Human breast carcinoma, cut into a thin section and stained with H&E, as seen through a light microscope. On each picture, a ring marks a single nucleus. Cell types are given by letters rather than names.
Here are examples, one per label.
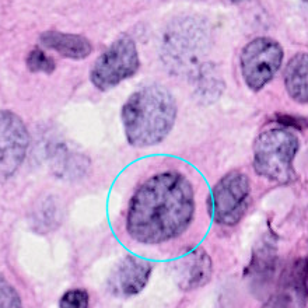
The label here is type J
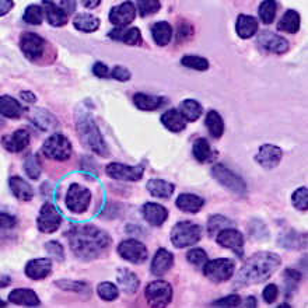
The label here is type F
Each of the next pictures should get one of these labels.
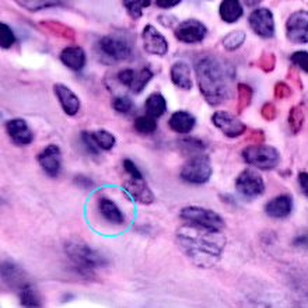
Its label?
type F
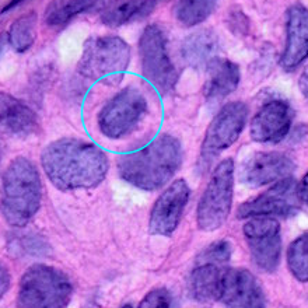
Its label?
type J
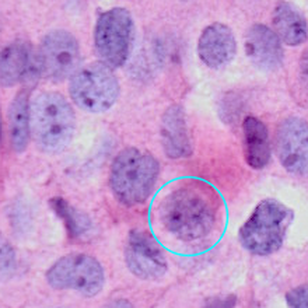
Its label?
type J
